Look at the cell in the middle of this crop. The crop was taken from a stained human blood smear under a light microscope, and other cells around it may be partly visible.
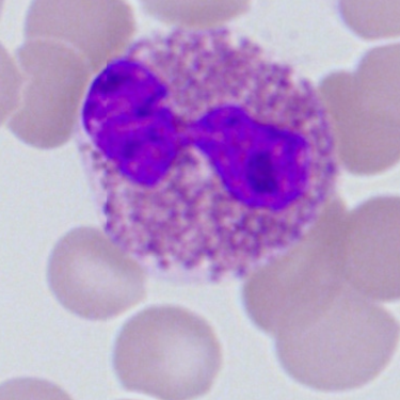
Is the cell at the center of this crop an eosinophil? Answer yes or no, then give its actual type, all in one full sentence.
Yes, in this crop the cell in the middle is an eosinophil.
